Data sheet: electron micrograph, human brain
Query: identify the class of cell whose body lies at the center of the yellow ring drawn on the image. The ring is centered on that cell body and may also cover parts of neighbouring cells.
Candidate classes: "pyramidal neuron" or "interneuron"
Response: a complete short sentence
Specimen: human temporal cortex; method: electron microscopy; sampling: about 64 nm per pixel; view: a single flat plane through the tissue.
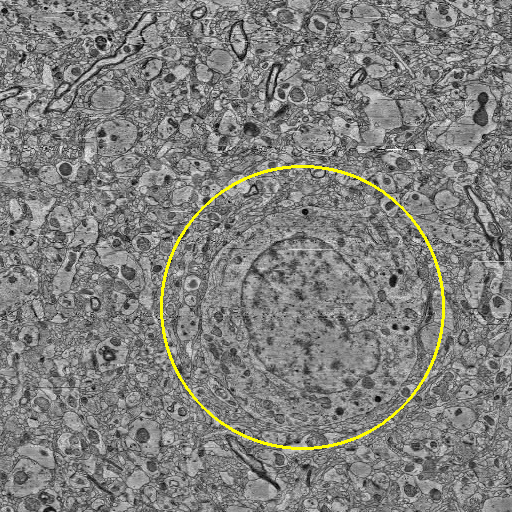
At the center of the ring lies an interneuron.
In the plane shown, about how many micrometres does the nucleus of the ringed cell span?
About 11 by 8 micrometers for the nucleus, in this plane.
